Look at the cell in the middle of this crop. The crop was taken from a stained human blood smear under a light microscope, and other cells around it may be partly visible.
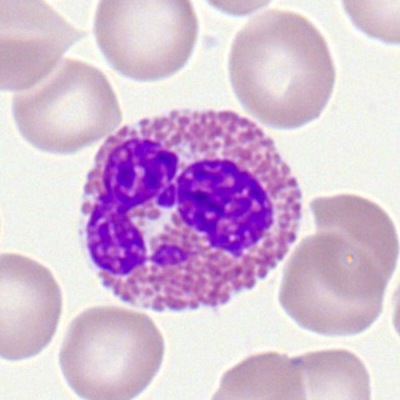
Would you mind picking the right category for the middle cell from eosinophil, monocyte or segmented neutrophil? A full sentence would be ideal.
Among the cells in view, the one in the middle is an eosinophil.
